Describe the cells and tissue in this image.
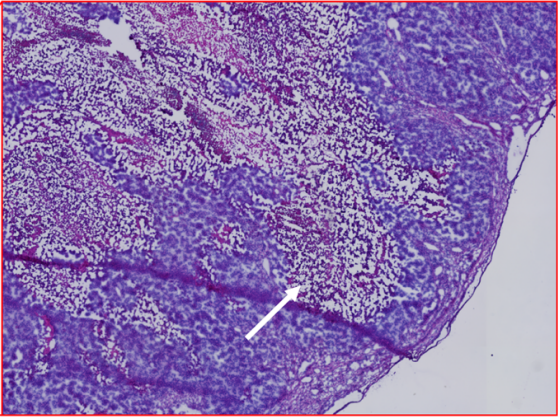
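This is tumor tissue at low magnification, made of sheets of densely packed cells interrupted by large loose areas. The dense areas stain deep blue-purple from closely crowded nuclei with little visible cytoplasm. Between them lie broad, pale, loosely textured zones of scattered fragments and pink-red debris, consistent with necrosis. A dark purple line crossing the field diagonally is a fold in the section. Along the right edge a thin layer bounds the tissue.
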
